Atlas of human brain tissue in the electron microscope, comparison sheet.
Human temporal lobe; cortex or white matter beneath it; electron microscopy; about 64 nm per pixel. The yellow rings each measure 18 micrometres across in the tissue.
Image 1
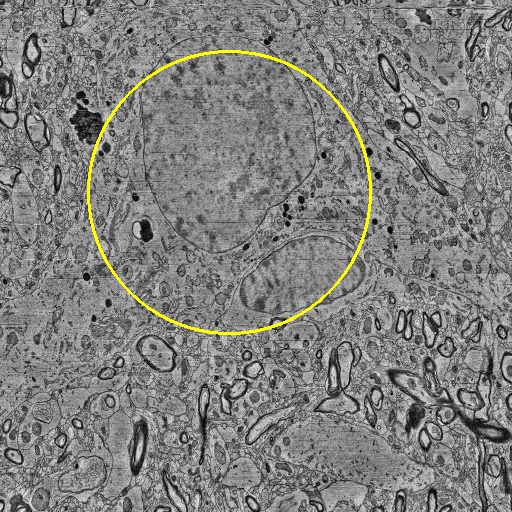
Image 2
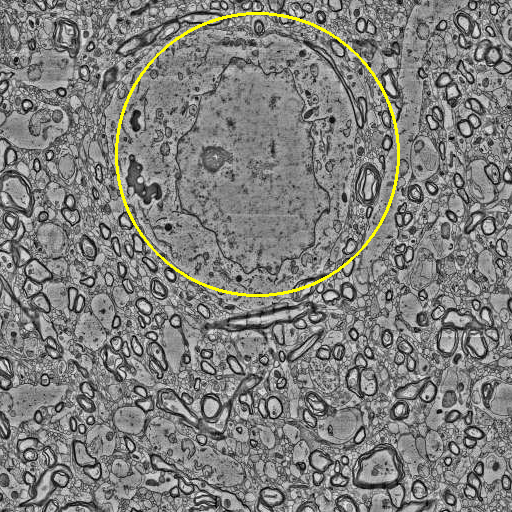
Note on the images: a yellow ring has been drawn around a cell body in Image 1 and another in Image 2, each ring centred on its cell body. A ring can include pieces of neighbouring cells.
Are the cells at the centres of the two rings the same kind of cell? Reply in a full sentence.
Yes, both cells are of the same kind.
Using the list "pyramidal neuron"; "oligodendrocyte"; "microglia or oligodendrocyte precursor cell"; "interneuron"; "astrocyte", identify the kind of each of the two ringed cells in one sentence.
The second cell is a pyramidal neuron, just as the first is.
